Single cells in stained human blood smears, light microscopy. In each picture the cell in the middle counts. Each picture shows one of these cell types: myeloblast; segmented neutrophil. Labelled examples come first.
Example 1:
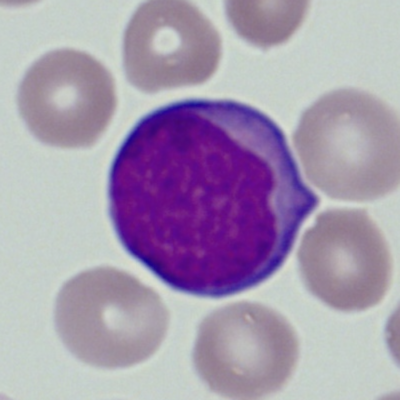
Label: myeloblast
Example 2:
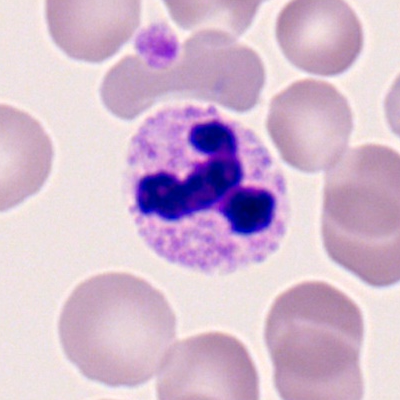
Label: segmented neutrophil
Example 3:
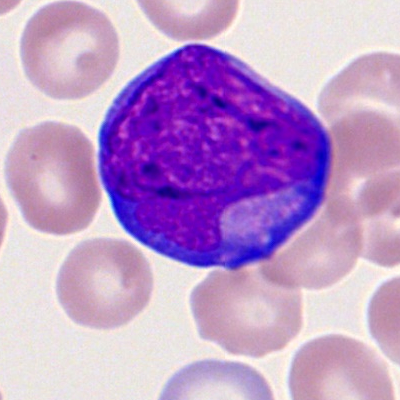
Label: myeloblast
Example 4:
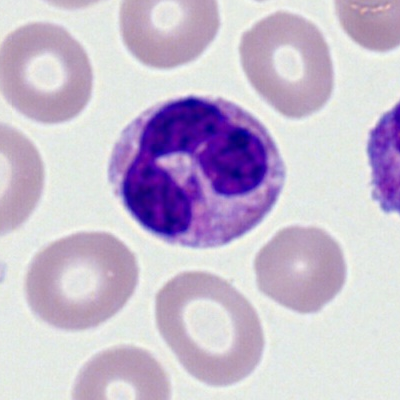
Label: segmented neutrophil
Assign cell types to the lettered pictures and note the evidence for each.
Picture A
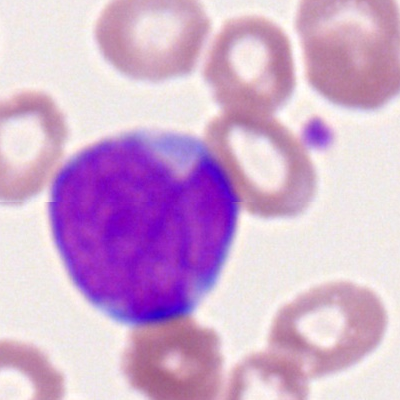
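Answer: myeloblast. The cytoplasm forms only a thin rim around the nucleus.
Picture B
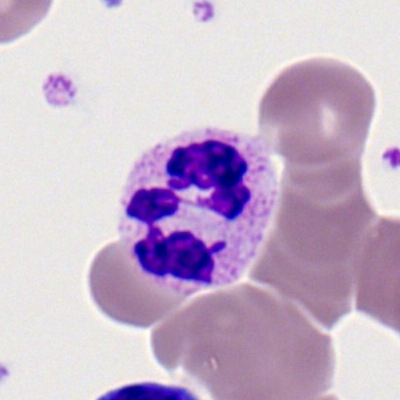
Answer: segmented neutrophil. The nucleus is split into three separate lobes.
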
